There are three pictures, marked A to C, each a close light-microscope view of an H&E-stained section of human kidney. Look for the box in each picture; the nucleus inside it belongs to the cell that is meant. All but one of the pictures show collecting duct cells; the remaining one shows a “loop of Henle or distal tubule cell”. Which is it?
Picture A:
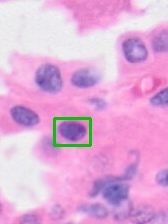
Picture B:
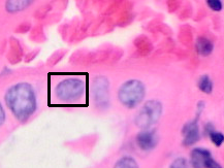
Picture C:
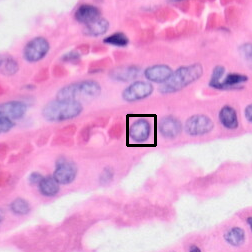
A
